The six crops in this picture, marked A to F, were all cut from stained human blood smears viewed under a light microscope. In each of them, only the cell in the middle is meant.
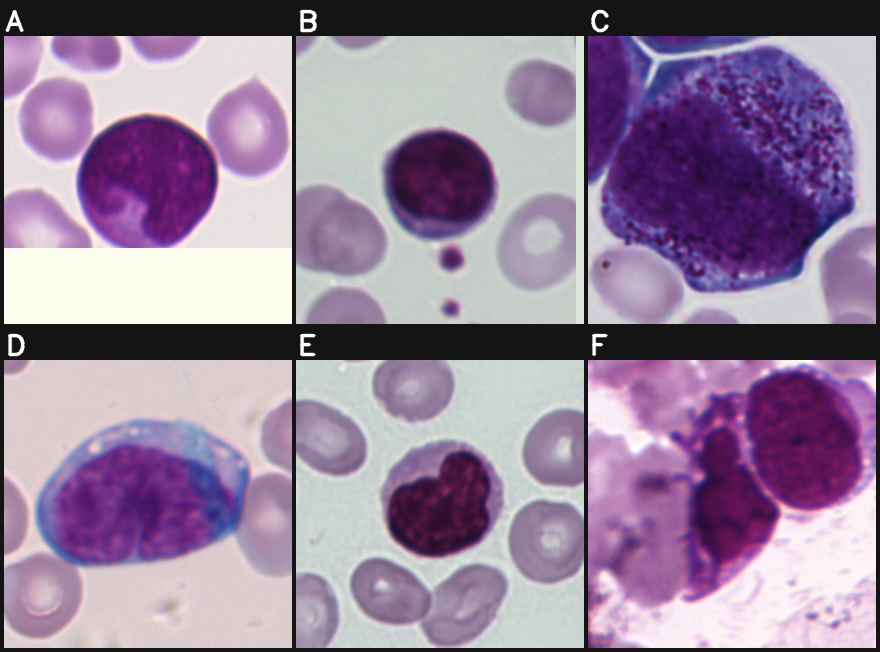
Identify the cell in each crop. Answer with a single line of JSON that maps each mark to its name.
{"A": "blast", "B": "large granular lymphocyte", "C": "promyelocyte", "D": "blast", "E": "large granular lymphocyte", "F": "blast"}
